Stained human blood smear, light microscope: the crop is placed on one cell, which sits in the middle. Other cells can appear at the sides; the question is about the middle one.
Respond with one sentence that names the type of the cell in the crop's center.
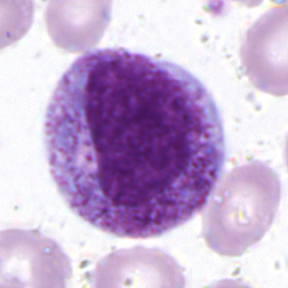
Where the crop is centred, there is a promyelocyte.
